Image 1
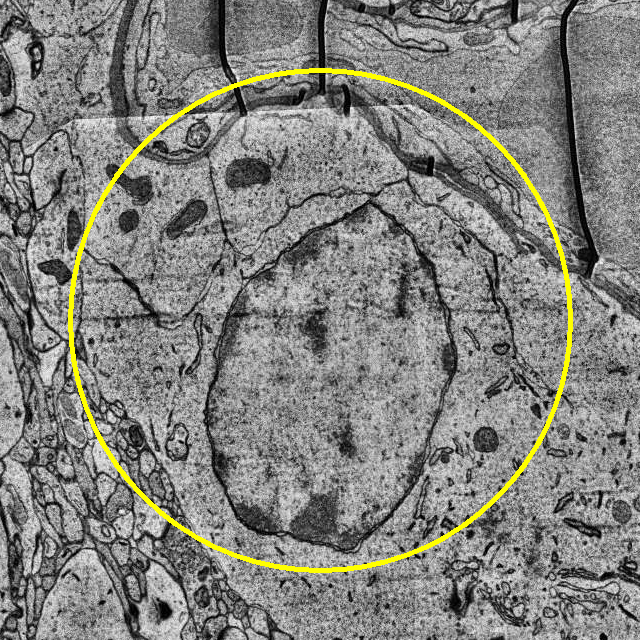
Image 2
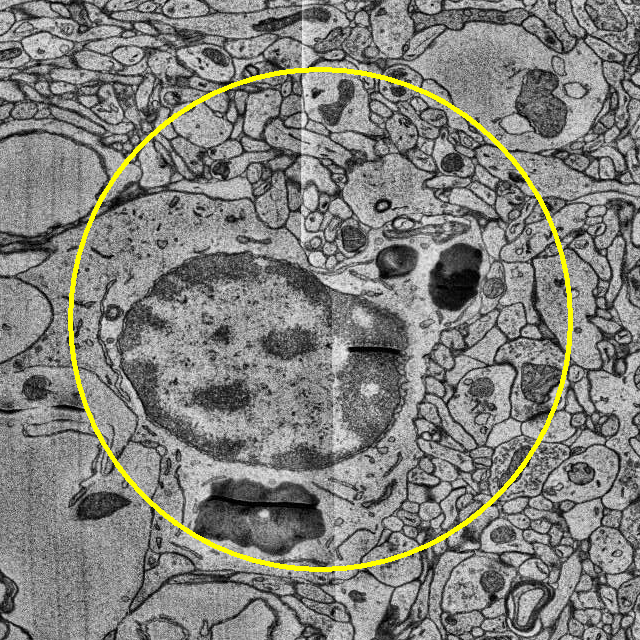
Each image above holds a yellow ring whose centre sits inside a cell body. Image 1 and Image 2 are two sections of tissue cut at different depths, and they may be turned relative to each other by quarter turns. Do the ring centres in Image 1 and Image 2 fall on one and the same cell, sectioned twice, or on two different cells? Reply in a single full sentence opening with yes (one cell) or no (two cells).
No, the rings surround different cells rather than one cell.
